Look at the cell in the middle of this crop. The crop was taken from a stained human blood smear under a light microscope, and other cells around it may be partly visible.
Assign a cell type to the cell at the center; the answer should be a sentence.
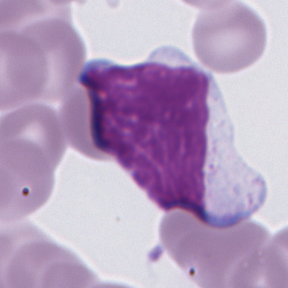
Among the cells in view, the one in the middle is a large granular lymphocyte.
